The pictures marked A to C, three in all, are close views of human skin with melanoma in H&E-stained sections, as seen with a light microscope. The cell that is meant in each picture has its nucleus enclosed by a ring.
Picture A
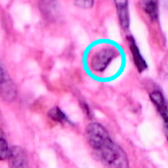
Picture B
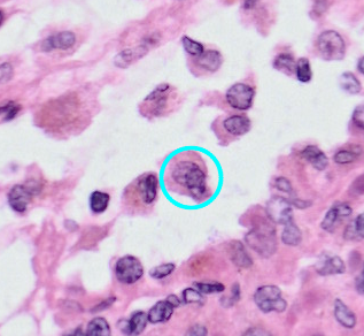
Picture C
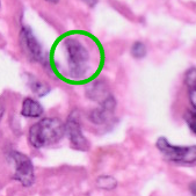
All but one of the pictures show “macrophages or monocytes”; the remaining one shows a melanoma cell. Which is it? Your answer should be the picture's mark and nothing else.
C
